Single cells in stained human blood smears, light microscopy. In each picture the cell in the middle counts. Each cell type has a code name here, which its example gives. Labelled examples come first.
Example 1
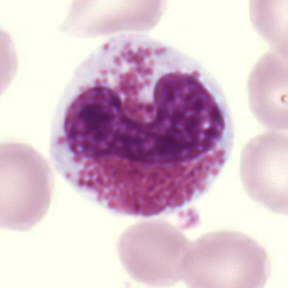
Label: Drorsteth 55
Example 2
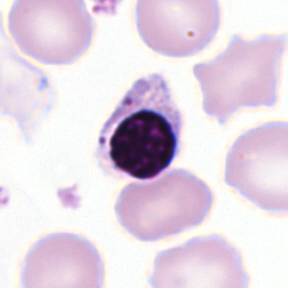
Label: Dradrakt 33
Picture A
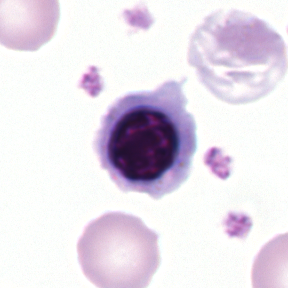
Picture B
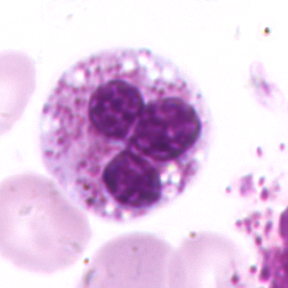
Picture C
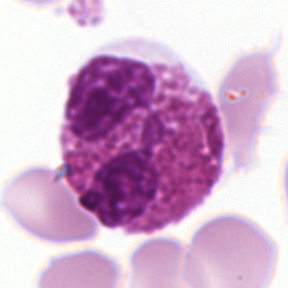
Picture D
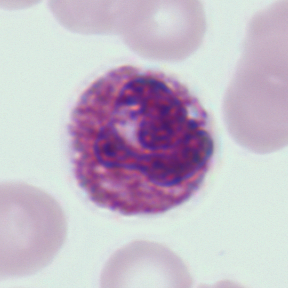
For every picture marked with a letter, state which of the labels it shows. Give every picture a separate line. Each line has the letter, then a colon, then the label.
A: Dradrakt 33
B: Drorsteth 55
C: Drorsteth 55
D: Drorsteth 55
